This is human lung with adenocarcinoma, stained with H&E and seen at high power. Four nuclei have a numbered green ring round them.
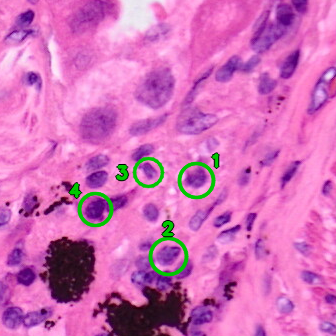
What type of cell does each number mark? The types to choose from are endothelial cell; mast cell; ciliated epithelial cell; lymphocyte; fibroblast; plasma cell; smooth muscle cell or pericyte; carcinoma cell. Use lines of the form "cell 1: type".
cell 1: plasma cell
cell 2: lymphocyte
cell 3: lymphocyte
cell 4: plasma cell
